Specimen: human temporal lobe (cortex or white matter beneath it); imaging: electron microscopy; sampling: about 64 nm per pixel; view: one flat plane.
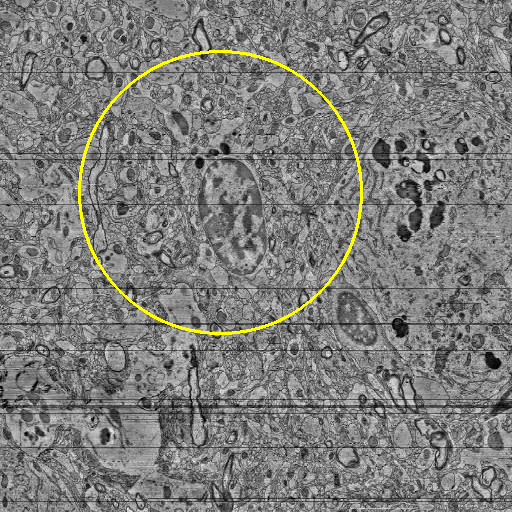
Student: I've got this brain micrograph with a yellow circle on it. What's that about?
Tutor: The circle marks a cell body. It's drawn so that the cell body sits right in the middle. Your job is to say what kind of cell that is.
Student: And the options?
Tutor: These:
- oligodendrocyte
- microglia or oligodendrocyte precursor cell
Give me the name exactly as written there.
microglia or oligodendrocyte precursor cell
